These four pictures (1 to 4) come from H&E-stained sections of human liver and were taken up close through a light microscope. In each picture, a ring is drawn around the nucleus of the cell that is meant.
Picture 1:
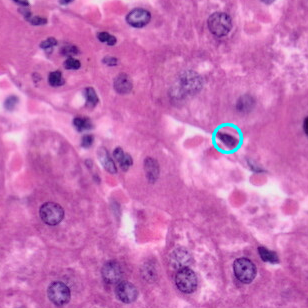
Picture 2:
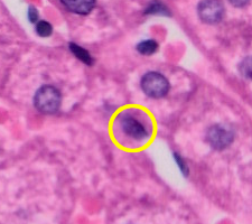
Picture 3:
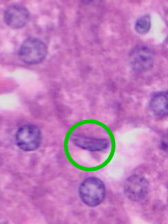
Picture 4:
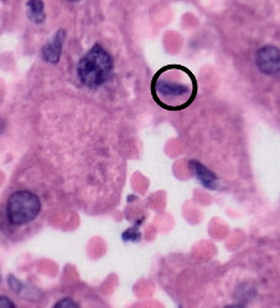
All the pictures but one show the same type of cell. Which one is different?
3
